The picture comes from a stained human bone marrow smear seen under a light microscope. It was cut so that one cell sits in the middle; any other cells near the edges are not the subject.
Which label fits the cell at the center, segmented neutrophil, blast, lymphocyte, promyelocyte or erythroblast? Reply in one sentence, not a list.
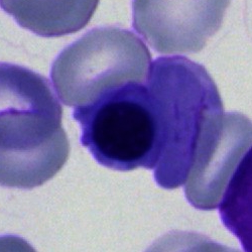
Looking at the middle of the crop, the cell there is an erythroblast.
